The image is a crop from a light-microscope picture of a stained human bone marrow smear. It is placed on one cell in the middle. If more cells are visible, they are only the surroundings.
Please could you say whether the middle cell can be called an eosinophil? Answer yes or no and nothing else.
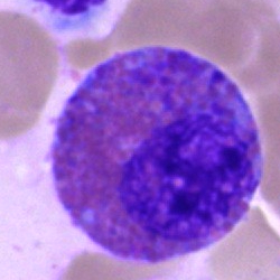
yes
